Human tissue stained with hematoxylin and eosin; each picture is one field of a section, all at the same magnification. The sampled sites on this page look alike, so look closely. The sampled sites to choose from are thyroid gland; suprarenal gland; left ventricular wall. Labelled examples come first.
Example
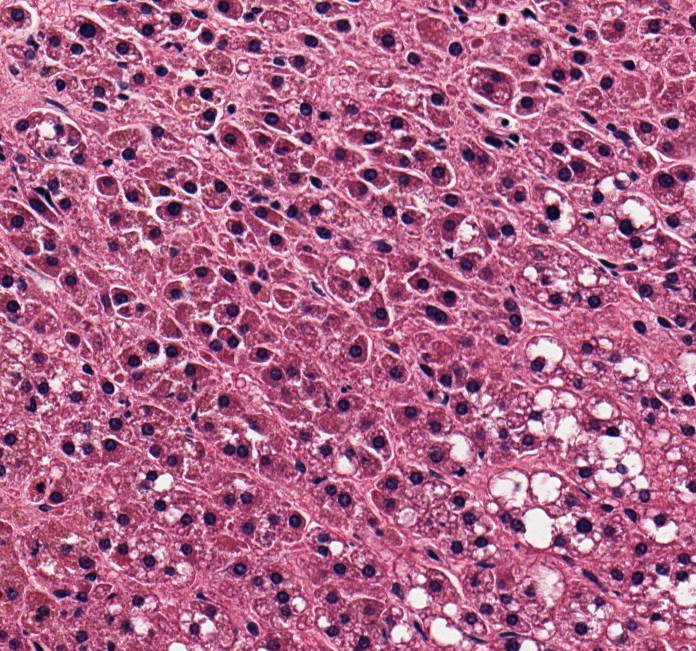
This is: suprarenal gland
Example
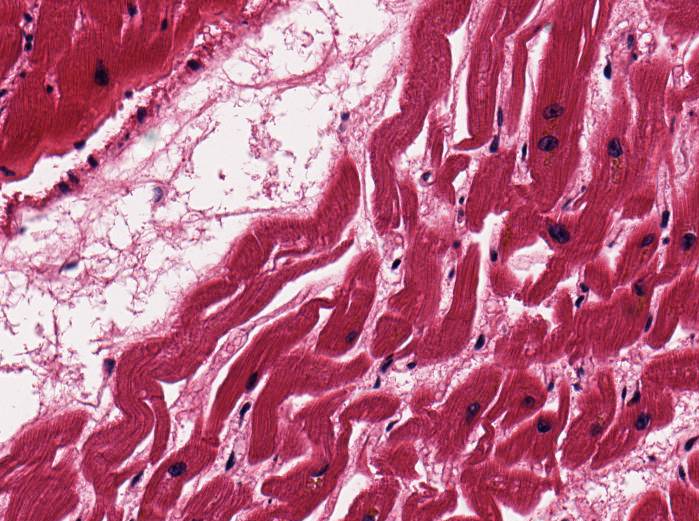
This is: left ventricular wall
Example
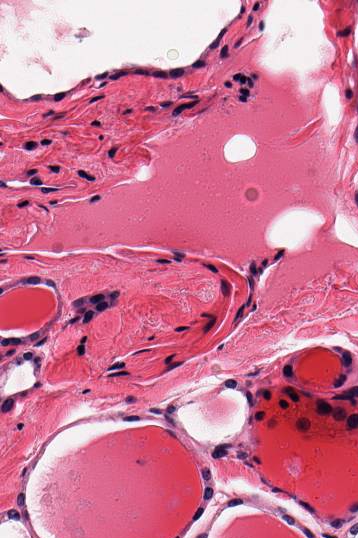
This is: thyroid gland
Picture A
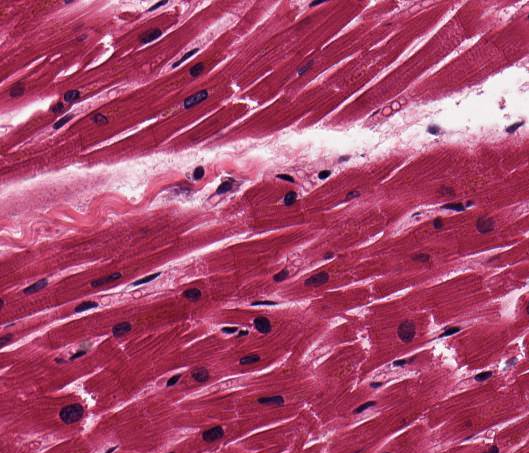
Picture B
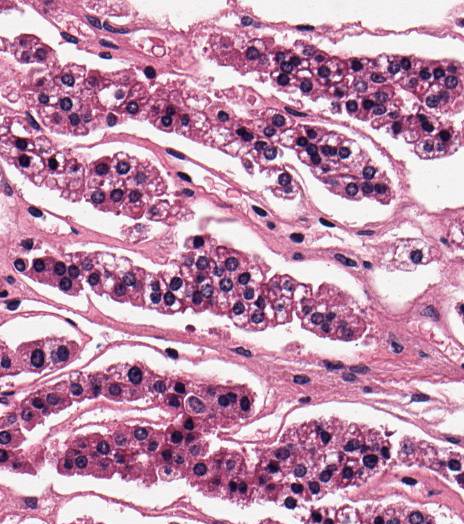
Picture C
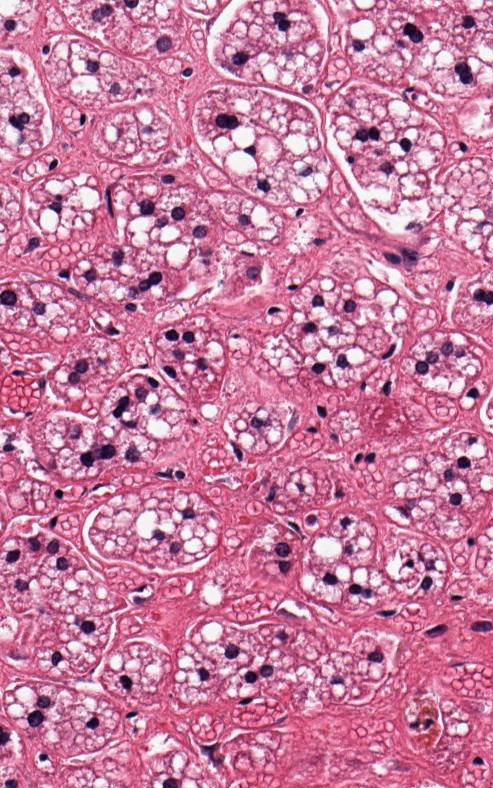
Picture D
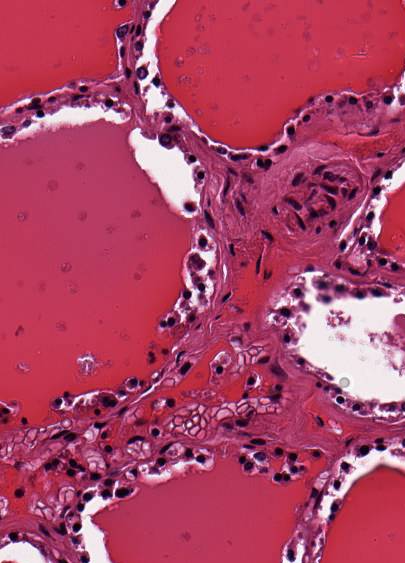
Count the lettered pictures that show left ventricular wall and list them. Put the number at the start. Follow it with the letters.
Count: 1 (A)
